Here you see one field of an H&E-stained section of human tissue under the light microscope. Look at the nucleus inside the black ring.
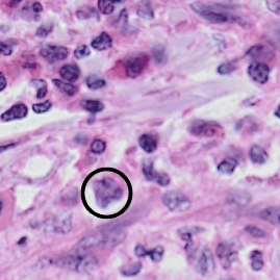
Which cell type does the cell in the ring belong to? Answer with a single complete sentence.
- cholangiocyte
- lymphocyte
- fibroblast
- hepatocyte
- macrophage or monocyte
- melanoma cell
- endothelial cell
Assigned to a cell type, the cell in the ring is a macrophage or monocyte.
